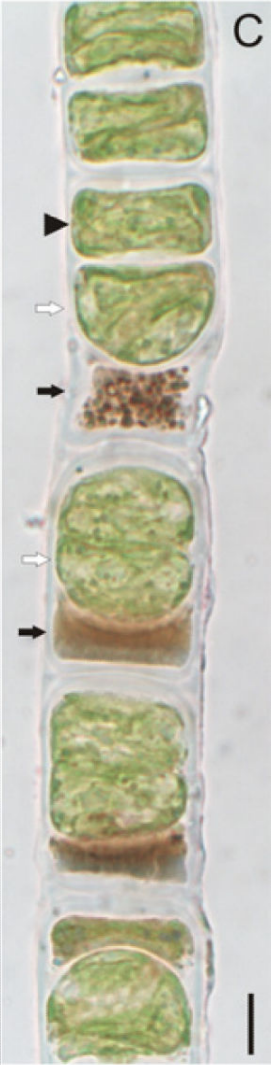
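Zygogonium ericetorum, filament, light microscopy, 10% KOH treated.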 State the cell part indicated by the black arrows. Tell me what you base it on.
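Dense brown cytoplasmic residue. The black arrows point to brown material lying in the old cells beside the green bodies. One of these patches is made of many dark brown granules.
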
